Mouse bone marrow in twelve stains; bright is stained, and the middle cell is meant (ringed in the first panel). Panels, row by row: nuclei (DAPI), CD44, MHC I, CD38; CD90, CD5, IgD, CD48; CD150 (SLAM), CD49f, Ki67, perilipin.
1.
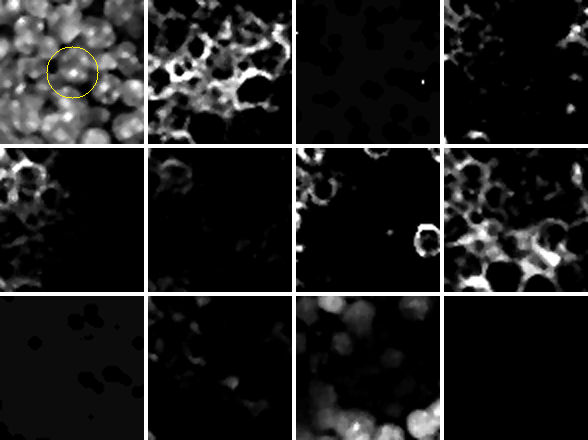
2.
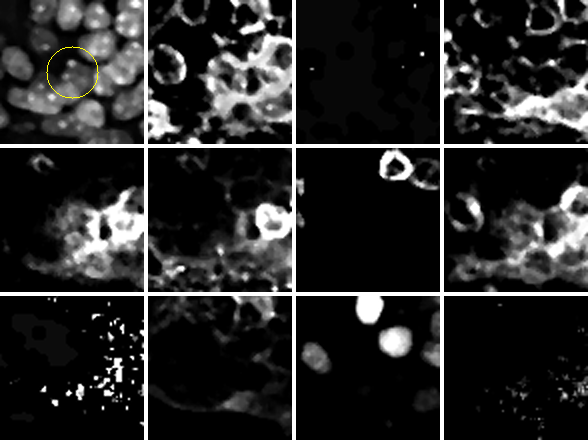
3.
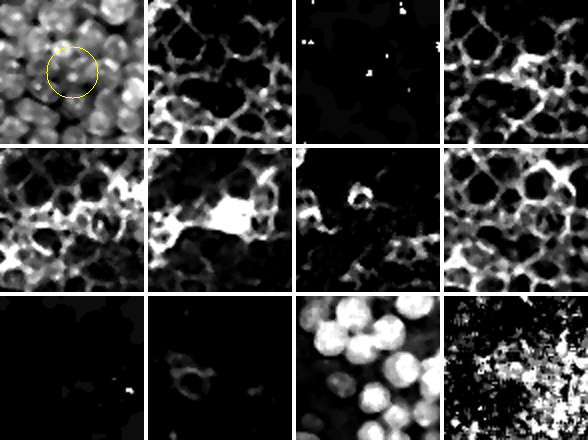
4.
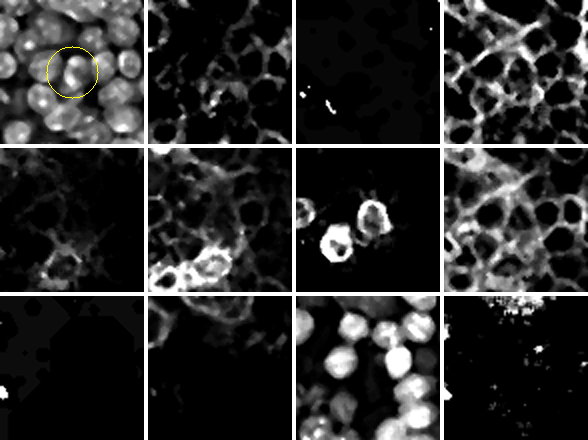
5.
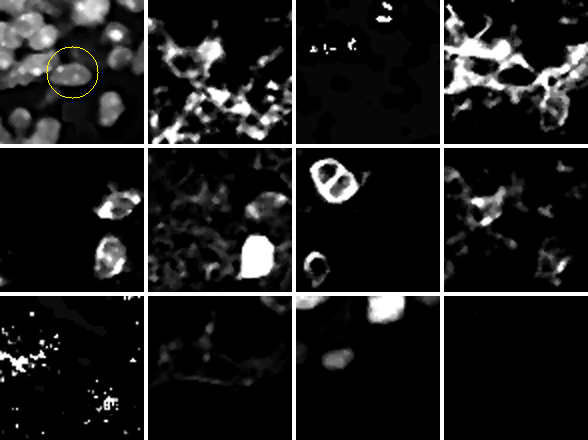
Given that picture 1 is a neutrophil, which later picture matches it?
2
